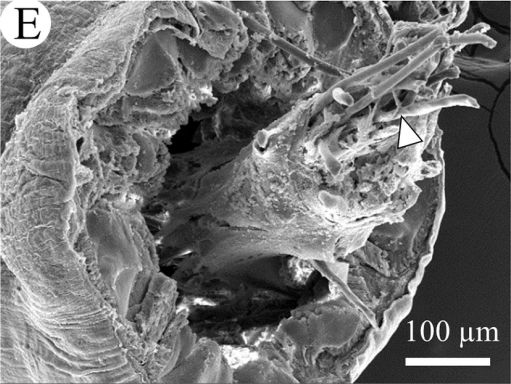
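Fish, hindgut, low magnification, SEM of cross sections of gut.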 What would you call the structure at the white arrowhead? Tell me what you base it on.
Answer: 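Straight smooth rods project from a mass of material in the lumen.
Answer: fibers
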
